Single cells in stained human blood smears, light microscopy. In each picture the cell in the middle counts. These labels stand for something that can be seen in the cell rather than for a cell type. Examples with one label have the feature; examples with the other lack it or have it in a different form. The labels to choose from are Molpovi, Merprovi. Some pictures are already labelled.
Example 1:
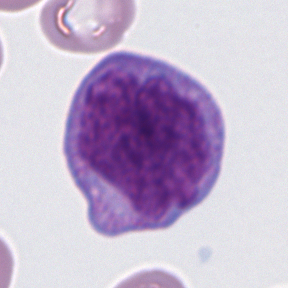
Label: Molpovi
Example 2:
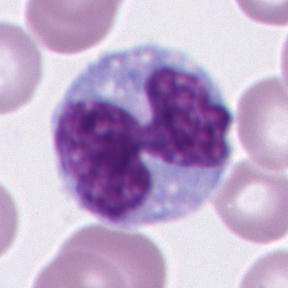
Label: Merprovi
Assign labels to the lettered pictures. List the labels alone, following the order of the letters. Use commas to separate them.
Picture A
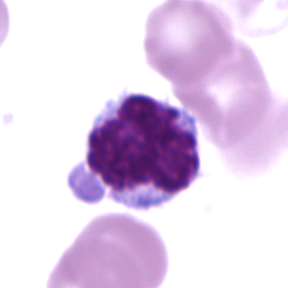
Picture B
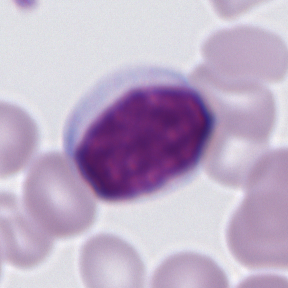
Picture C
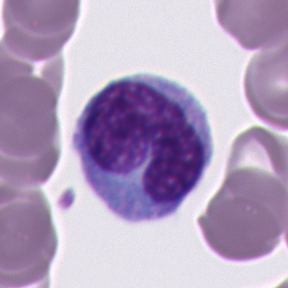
Molpovi, Merprovi, Merprovi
